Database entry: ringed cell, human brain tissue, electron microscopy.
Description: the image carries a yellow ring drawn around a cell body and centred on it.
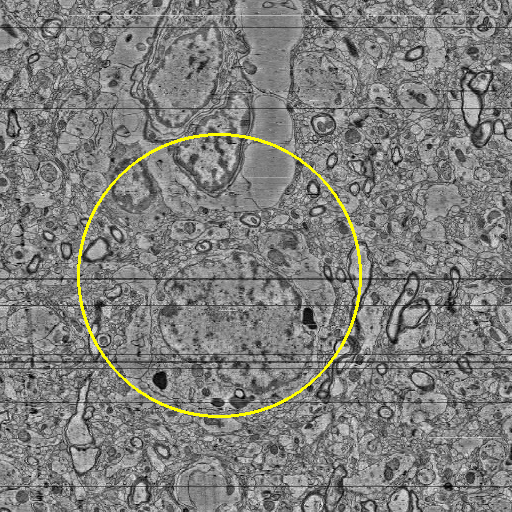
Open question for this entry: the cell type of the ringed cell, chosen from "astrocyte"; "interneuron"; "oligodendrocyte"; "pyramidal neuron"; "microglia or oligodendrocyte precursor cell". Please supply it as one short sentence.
The ringed cell is an interneuron.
